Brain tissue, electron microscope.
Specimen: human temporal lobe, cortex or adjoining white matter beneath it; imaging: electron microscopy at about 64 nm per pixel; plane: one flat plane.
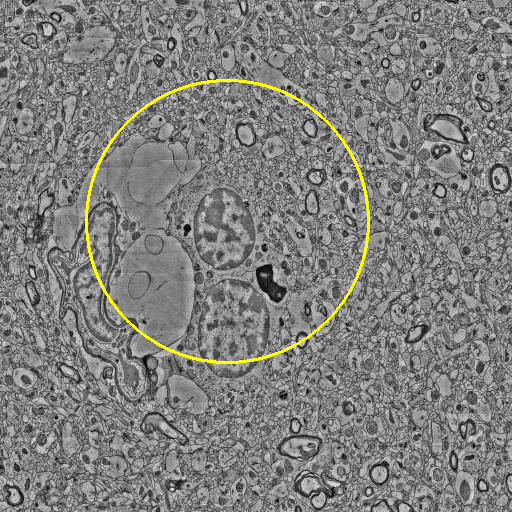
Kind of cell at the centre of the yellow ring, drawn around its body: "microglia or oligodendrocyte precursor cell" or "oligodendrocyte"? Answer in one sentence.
The ring's centre falls on an oligodendrocyte.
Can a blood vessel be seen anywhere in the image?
Yes, a blood vessel can be seen.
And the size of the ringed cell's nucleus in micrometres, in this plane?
About 5 by 4 micrometers, in this plane.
